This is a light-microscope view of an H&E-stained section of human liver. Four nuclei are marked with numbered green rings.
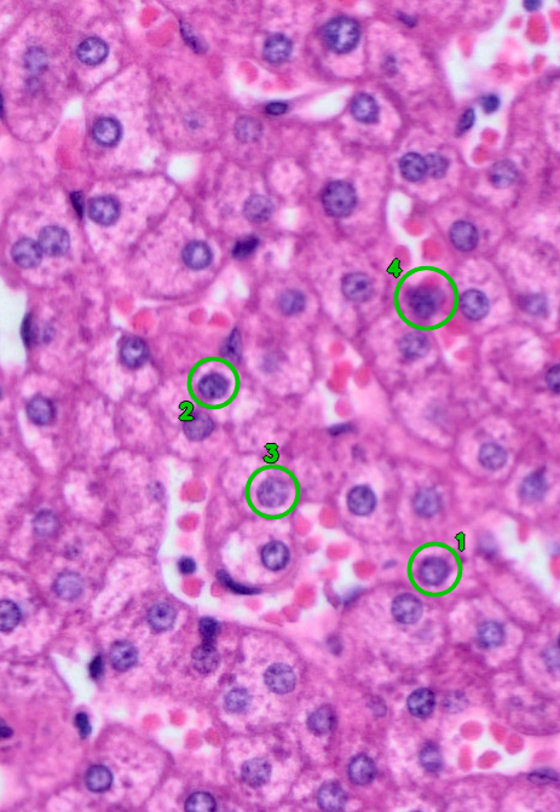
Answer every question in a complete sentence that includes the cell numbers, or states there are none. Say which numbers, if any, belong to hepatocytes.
The cells that the numbers 1, 2 and 3 belong to are hepatocytes.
